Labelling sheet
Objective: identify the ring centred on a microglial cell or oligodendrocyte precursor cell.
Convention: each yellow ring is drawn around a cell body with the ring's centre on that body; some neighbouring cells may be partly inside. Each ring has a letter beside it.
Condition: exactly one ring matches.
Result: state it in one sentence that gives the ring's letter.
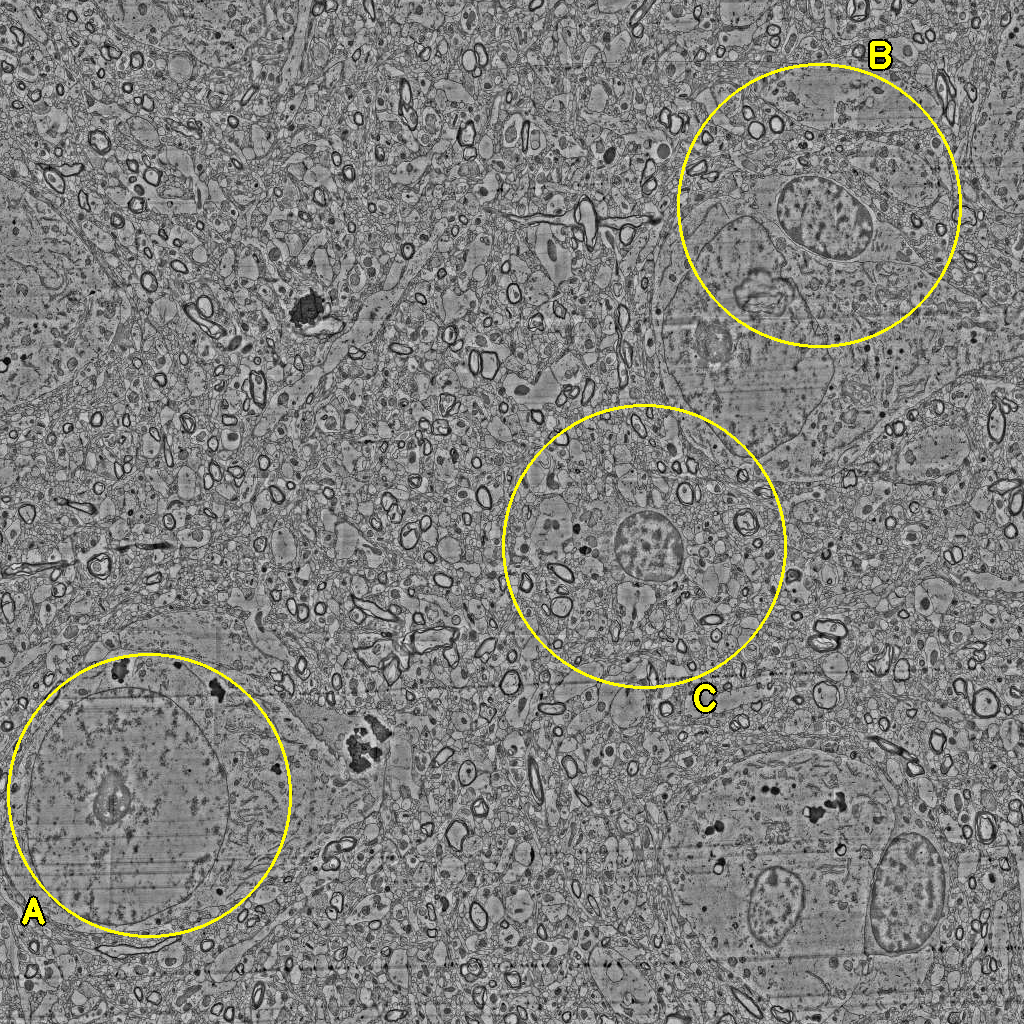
It lies at the centre of ring B.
